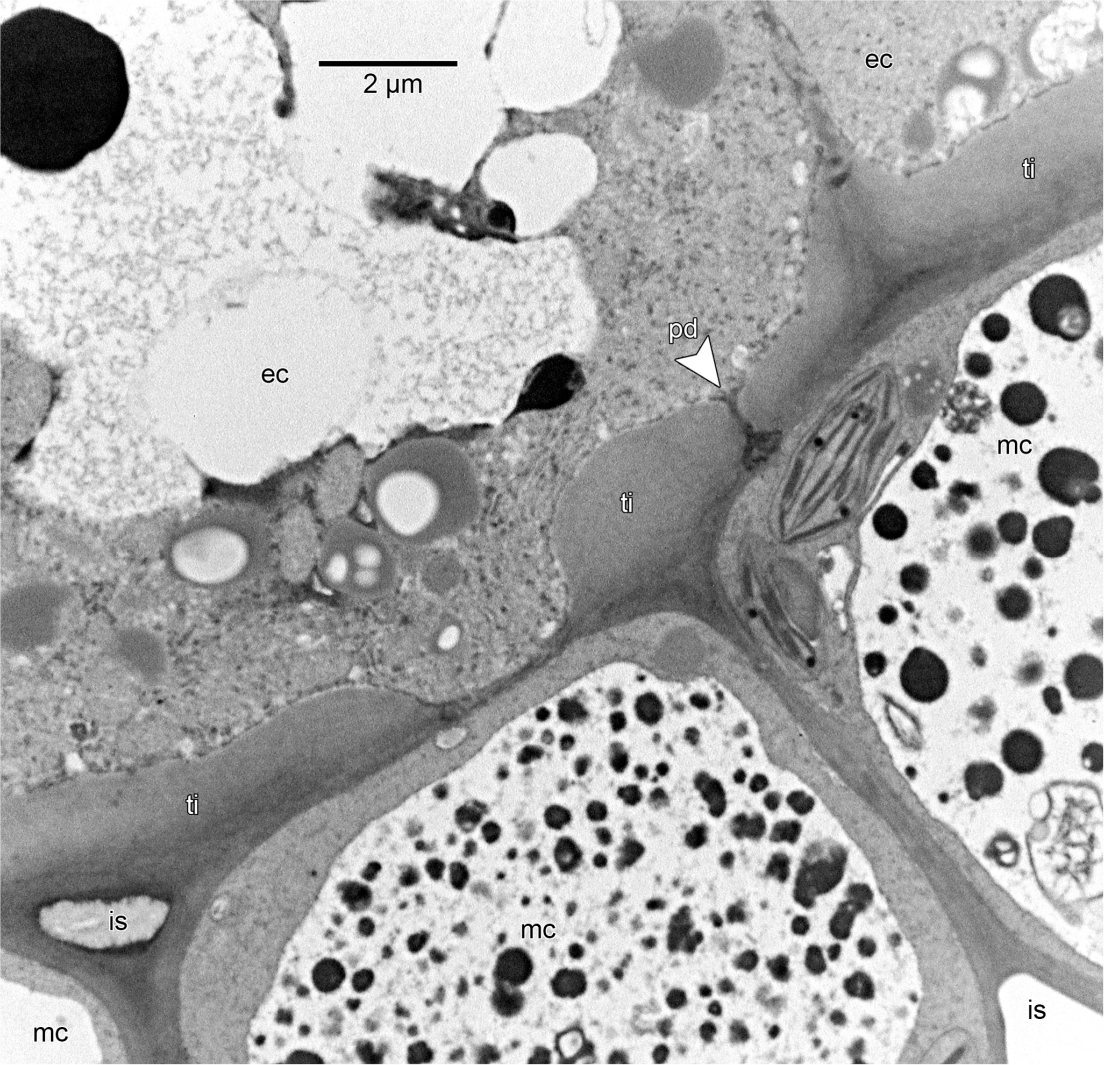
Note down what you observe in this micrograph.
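This transmission electron micrograph shows the inner ends of two epidermal cells, at top and upper left, meeting three mesophyll cells, at lower centre, right and lower left. The epidermal cells have granular cytoplasm with pale vacuoles and small round inclusions. Their inner walls bear thick, smooth, homogeneous grey thickenings that bulge into the cells and cover only parts of the wall. The mesophyll cells have a thin cytoplasmic layer, one containing chloroplasts with stacked membranes, and large vacuoles filled with many dark round droplets. Small intercellular spaces lie at the cell corners.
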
